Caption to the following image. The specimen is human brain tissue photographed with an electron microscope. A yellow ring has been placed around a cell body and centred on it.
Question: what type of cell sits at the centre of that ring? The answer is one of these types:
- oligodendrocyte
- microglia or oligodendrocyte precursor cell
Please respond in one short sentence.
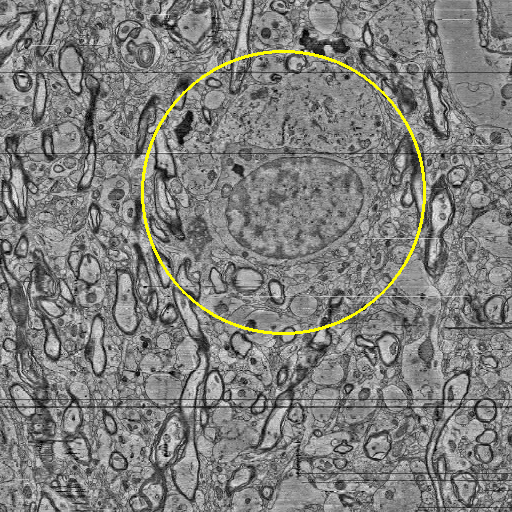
The ring surrounds the cell body of an oligodendrocyte.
